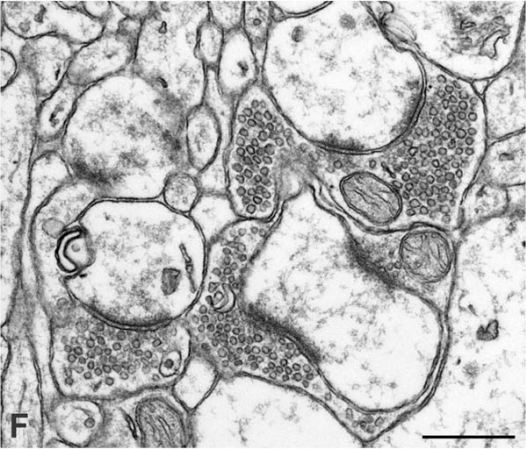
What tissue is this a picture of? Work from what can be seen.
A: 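Neuropil. Densely packed neuronal profiles with continuous membranes. Terminals filled with round synaptic vesicles. Mitochondria with clear cristae inside terminals.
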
